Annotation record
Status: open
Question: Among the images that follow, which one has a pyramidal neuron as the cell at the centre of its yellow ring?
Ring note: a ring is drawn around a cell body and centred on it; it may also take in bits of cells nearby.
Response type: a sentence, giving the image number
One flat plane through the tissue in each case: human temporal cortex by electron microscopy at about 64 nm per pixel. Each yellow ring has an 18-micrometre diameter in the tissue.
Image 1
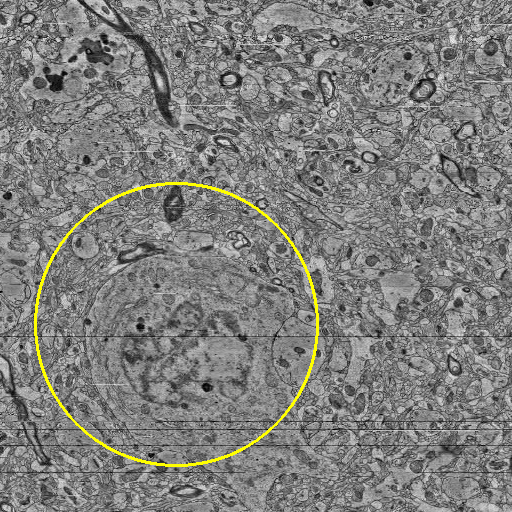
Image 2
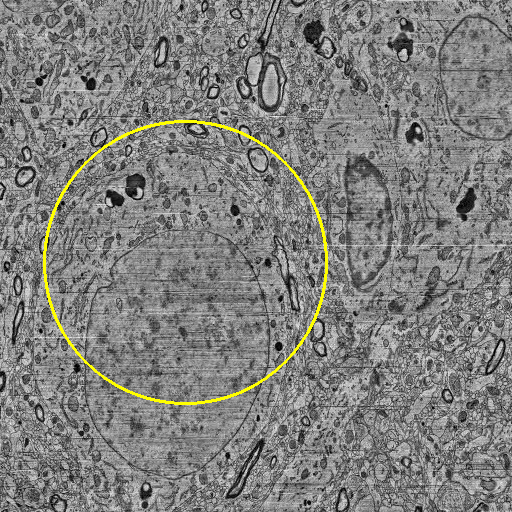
Image 2 shows it at the centre of its ring.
